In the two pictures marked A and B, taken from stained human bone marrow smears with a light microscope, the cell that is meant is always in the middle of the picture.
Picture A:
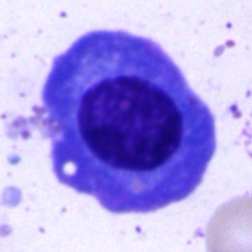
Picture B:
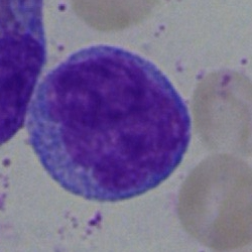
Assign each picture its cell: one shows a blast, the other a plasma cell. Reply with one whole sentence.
It is picture A that shows a plasma cell, and picture B that shows a blast.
